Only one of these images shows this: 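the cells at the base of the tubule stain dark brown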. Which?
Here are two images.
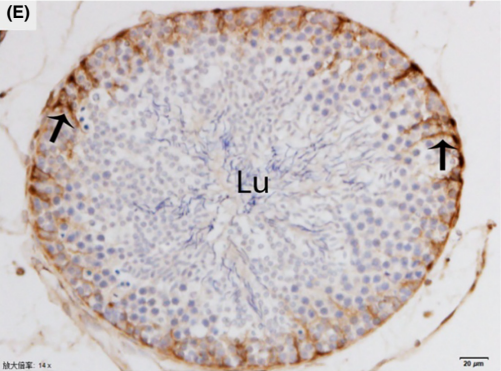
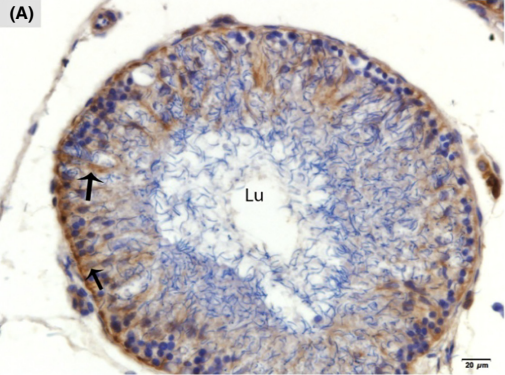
The first image.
